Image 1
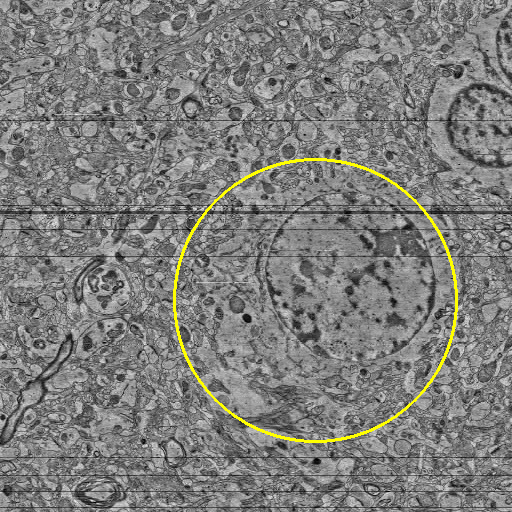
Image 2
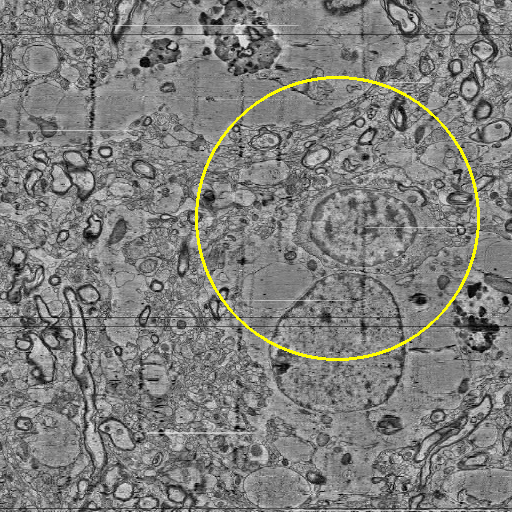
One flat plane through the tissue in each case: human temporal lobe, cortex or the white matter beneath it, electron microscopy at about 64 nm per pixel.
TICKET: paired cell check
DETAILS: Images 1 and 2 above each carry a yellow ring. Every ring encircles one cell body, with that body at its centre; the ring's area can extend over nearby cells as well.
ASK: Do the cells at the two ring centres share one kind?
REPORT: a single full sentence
No, the ring-centre cells of Images 1 and 2 belong to two kinds.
